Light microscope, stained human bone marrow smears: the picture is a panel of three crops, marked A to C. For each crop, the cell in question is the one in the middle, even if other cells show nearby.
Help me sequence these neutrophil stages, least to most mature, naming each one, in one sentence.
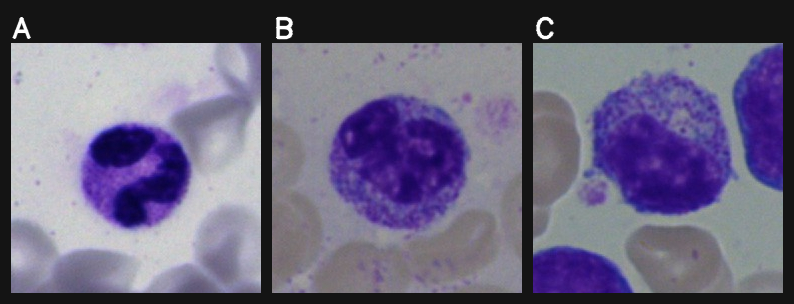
The crops, ordered from least to most mature, are crop C (a myelocyte), crop B (a metamyelocyte) and crop A (a segmented neutrophil).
